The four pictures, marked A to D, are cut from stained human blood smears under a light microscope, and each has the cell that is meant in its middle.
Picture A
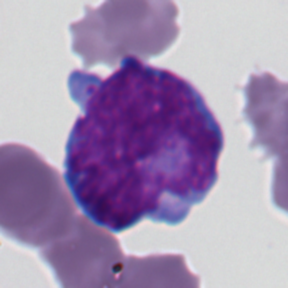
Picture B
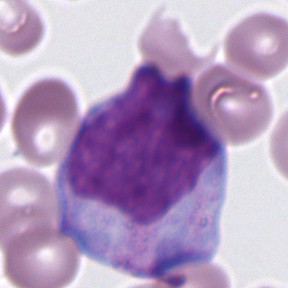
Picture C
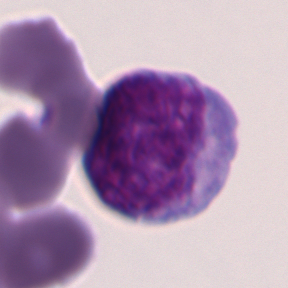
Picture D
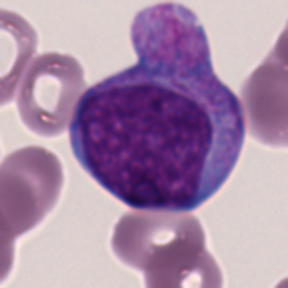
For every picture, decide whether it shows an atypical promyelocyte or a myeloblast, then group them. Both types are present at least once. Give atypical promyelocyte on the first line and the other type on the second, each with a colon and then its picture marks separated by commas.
atypical promyelocyte: B, D
myeloblast: A, C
